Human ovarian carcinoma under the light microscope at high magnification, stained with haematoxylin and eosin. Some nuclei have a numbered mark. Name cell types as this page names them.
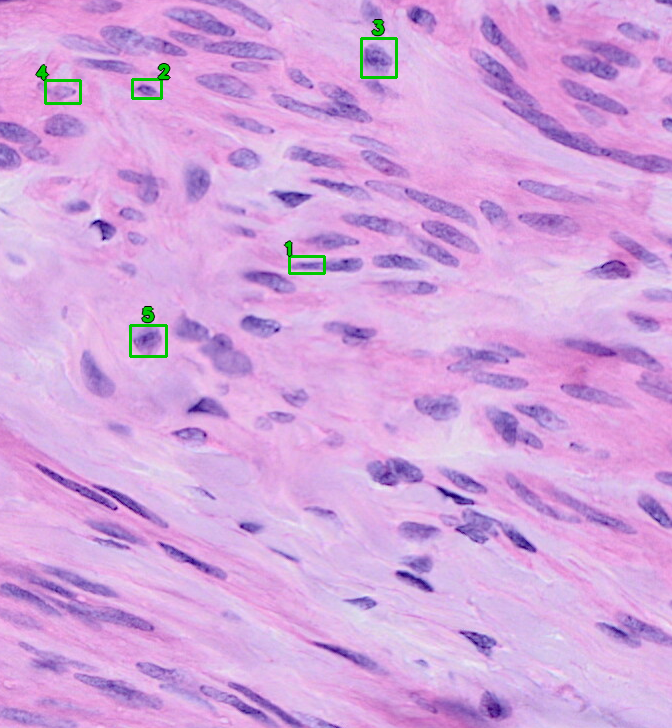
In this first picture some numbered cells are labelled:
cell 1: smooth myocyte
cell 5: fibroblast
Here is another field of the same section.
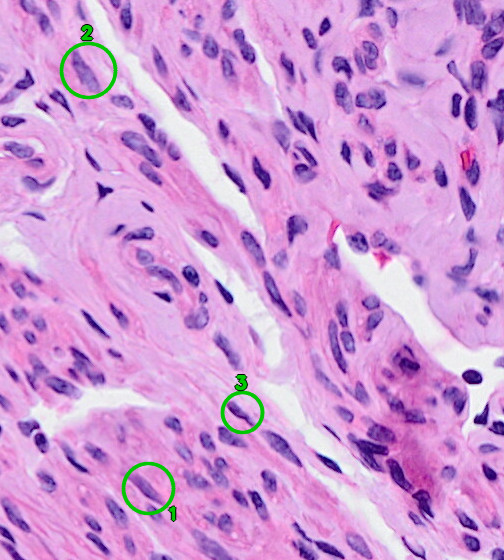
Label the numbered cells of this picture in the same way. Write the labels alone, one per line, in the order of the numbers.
smooth myocyte
smooth myocyte
fibroblast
